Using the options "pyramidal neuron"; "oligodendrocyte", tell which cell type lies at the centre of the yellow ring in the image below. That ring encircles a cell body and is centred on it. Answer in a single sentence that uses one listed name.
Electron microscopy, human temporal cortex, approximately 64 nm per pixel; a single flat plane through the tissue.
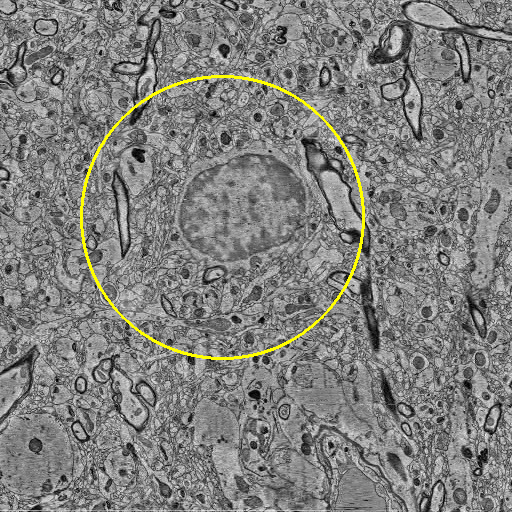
At the centre of the yellow ring lies the body of an oligodendrocyte.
